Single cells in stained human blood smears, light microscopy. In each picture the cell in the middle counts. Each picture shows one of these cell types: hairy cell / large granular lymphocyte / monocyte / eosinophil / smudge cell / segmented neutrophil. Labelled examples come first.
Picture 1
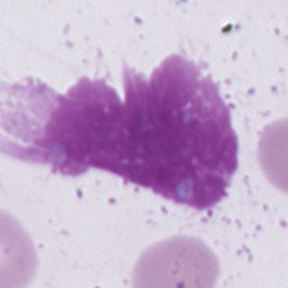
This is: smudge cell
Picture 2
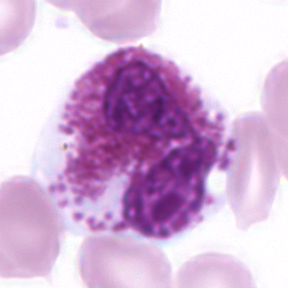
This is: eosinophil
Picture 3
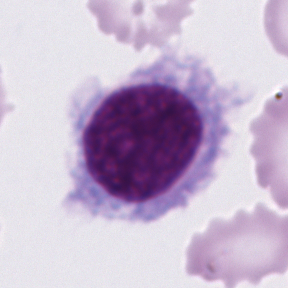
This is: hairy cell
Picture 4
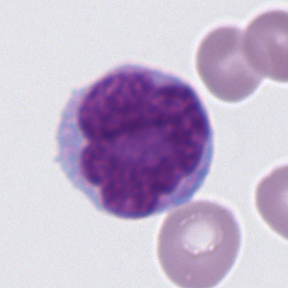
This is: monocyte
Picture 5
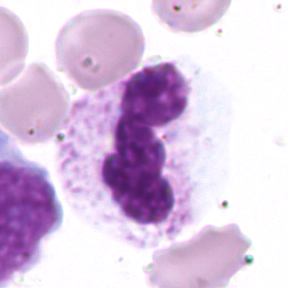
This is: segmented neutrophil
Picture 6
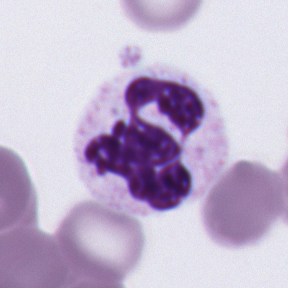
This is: segmented neutrophil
